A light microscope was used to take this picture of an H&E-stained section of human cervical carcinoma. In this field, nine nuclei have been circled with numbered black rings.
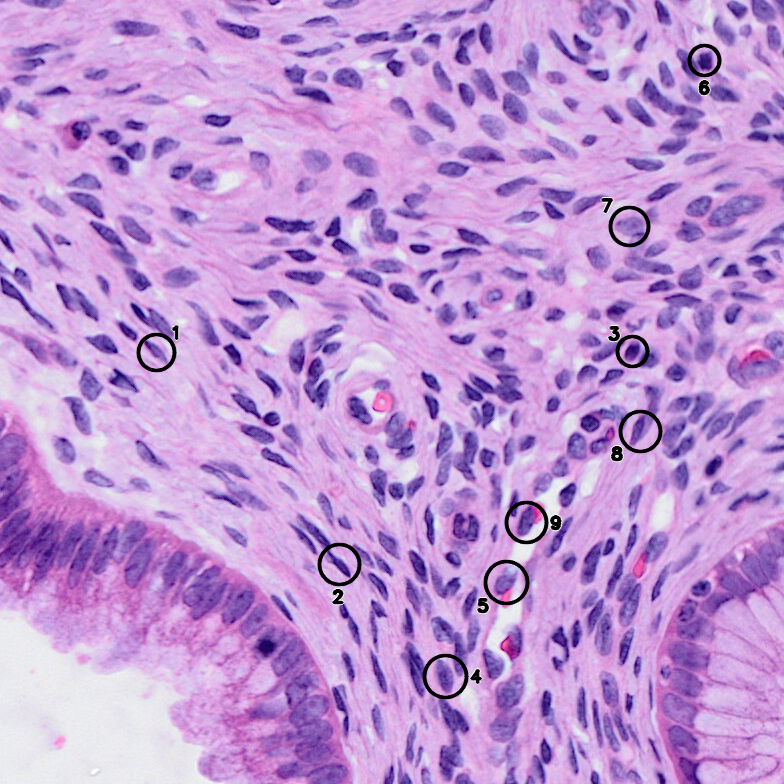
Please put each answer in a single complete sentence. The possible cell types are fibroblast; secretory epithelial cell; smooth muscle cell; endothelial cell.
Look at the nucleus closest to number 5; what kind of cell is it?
The cell nearest to number 5 is an endothelial cell.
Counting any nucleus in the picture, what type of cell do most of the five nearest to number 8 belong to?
Most of the five nuclei nearest to number 8 are those of fibroblasts.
